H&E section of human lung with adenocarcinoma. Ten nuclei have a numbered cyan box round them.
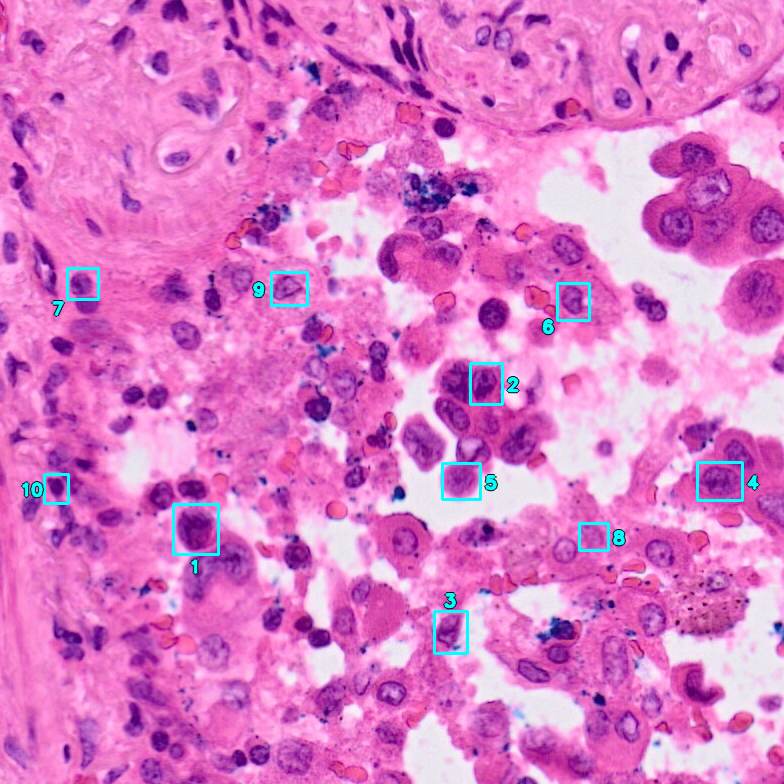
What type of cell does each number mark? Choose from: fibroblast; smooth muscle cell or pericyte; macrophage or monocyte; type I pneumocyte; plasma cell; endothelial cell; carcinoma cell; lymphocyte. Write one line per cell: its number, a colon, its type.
1: carcinoma cell
2: carcinoma cell
3: macrophage or monocyte
4: carcinoma cell
5: carcinoma cell
6: macrophage or monocyte
7: lymphocyte
8: macrophage or monocyte
9: macrophage or monocyte
10: lymphocyte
